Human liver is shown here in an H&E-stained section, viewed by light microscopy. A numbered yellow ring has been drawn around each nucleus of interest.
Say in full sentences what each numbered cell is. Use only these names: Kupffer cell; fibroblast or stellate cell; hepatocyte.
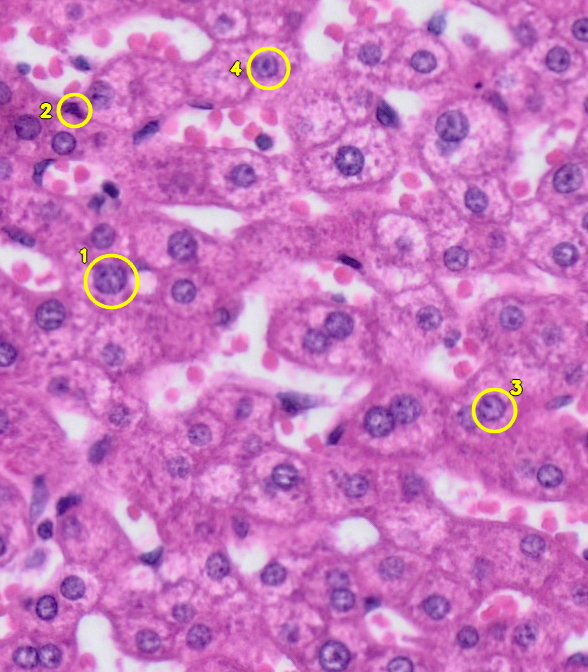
Cells 1, 3 and 4 are hepatocytes. Cell 2 is a fibroblast or stellate cell.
